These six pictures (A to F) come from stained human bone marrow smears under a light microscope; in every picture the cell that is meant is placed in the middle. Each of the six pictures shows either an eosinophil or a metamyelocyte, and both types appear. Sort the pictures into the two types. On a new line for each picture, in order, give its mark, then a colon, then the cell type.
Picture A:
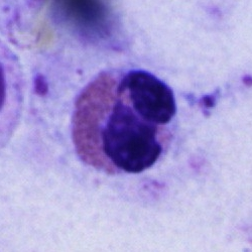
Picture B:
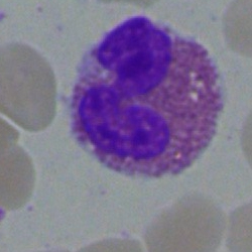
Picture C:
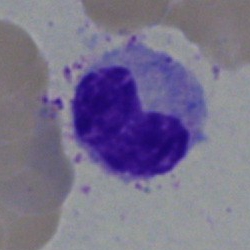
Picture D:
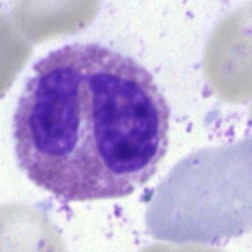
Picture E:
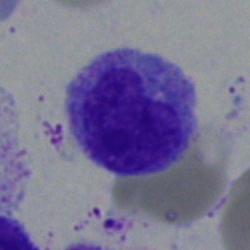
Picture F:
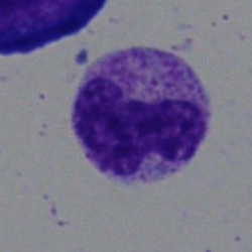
A: eosinophil
B: eosinophil
C: metamyelocyte
D: eosinophil
E: metamyelocyte
F: metamyelocyte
